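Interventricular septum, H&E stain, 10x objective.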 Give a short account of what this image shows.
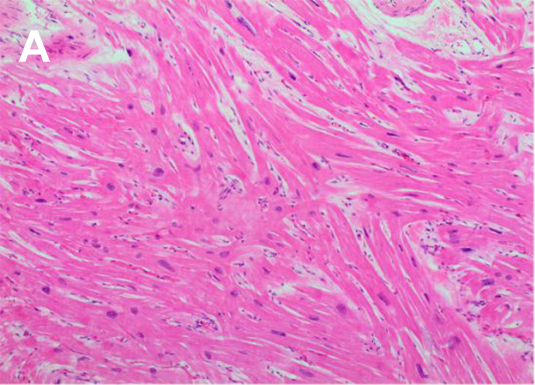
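The cardiac muscle fibres are pink with oval purple nuclei, but instead of lying in neat parallel rows they run in different directions, crossing and swirling so that neighbouring bundles meet at angles. Some fibres look broad, with large nuclei. Between the bundles are thin pale strands of connective tissue with small spindle-shaped nuclei. The overall pattern is one of disordered, interlacing muscle fibres rather than the orderly alignment of normal heart muscle.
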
